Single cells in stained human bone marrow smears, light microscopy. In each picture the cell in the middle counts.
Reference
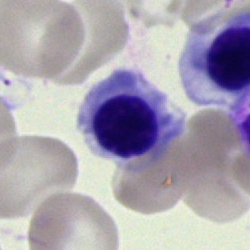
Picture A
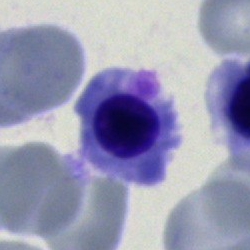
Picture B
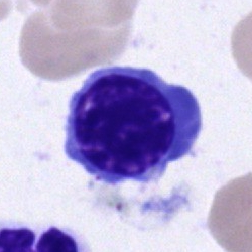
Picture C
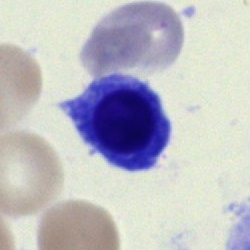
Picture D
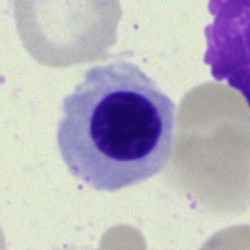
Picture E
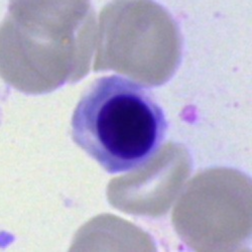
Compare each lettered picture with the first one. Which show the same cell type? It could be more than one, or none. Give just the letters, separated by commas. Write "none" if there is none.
A, B, C, D, E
